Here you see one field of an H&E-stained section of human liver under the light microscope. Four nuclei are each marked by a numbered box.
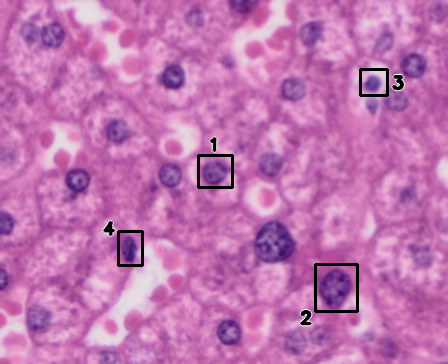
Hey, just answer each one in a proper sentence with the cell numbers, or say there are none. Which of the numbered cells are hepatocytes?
On this slide, the cells numbered 1 and 2 are hepatocytes.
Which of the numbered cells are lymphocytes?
Of the marked cells, the one numbered 3 is a lymphocyte and the rest are not.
